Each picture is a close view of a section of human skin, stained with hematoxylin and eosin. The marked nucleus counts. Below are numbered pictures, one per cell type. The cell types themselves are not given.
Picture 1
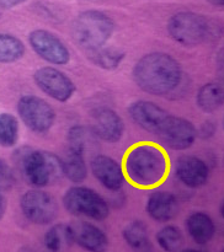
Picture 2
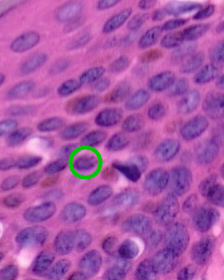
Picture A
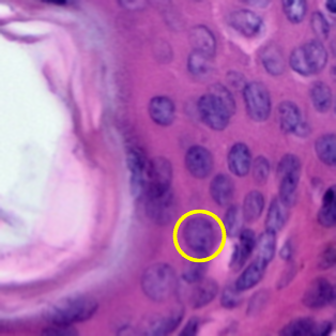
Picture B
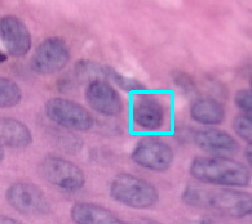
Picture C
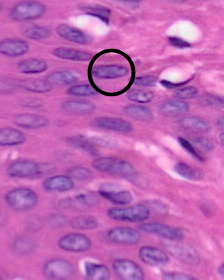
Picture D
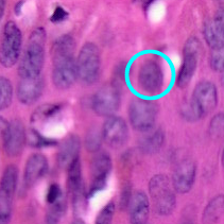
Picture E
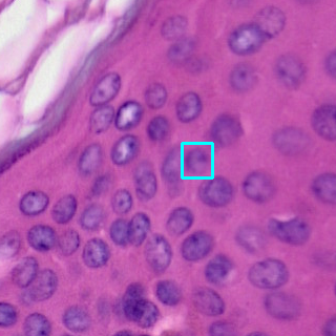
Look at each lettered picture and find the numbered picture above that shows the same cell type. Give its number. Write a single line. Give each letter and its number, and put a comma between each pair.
A 1, B 2, C 2, D 2, E 1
